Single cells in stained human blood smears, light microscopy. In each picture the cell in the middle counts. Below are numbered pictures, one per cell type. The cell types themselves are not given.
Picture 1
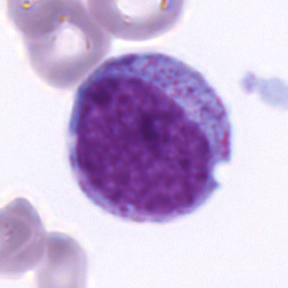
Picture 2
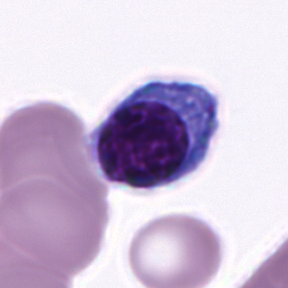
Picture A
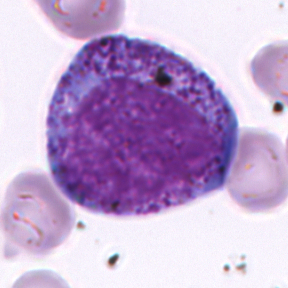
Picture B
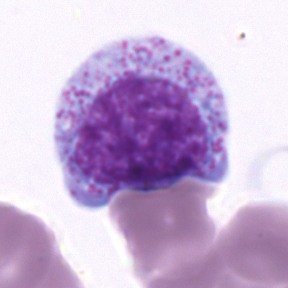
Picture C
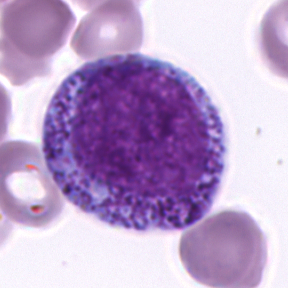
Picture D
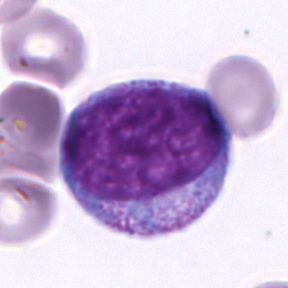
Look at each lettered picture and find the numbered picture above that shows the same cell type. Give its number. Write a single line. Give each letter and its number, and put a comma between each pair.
A 1, B 1, C 1, D 1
